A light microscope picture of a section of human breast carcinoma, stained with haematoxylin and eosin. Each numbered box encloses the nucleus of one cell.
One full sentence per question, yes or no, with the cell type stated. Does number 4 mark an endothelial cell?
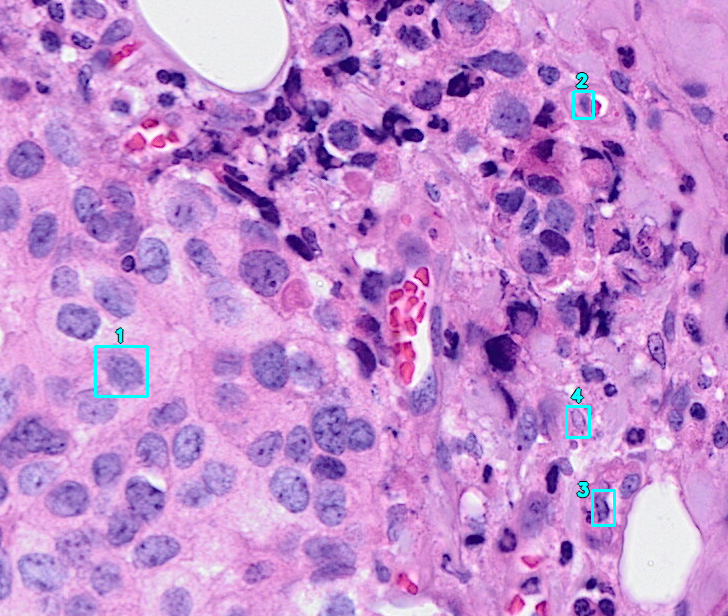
No, an endothelial cell is not what cell 4 is; it is a macrophage, monocyte or dendritic cell.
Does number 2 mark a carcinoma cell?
No, cell 2 is not a carcinoma cell. It is an endothelial cell.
